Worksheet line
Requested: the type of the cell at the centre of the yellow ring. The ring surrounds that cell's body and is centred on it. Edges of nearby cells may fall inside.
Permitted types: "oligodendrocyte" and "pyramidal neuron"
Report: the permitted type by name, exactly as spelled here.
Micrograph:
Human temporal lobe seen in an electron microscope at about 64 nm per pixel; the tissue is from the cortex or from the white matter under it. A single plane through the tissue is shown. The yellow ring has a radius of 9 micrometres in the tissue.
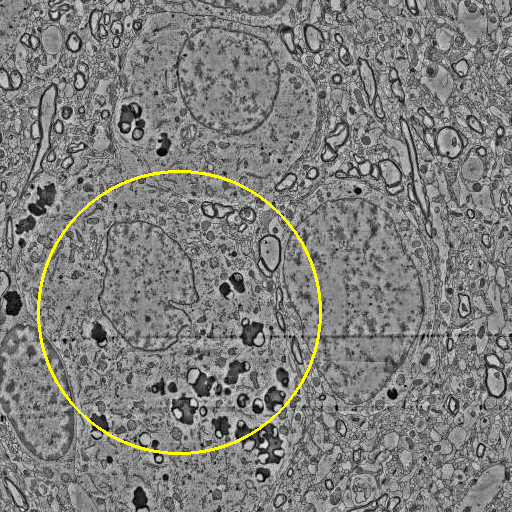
pyramidal neuron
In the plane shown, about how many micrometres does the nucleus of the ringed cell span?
In this plane, approximately 9 by 7 micrometers.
